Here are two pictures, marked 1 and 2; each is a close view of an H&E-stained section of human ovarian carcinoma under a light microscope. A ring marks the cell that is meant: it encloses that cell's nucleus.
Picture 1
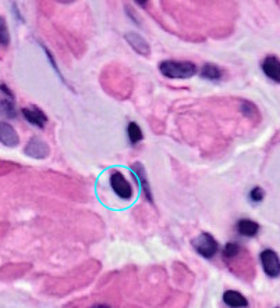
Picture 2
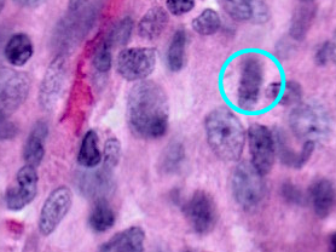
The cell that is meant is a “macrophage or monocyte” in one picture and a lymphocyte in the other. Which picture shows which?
1: lymphocyte
2: macrophage or monocyte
